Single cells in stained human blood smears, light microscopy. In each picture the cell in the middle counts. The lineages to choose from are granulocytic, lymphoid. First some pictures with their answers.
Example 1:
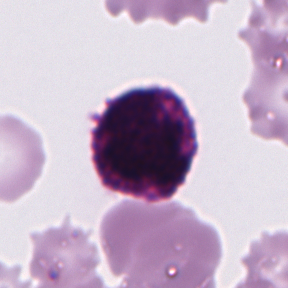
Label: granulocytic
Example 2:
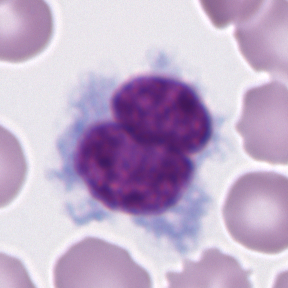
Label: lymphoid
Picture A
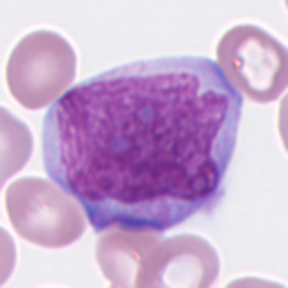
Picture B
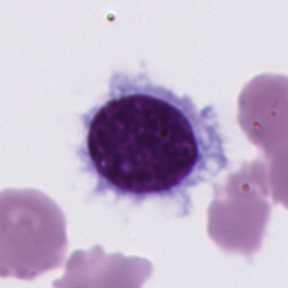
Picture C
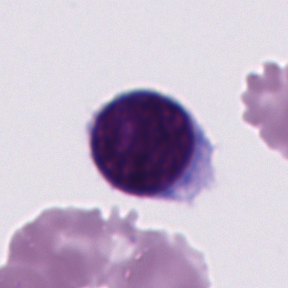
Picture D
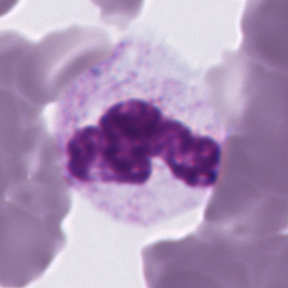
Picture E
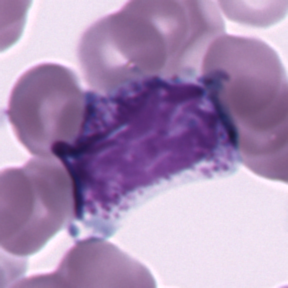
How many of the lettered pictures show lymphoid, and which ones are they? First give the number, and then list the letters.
Count: 2 (B, C)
